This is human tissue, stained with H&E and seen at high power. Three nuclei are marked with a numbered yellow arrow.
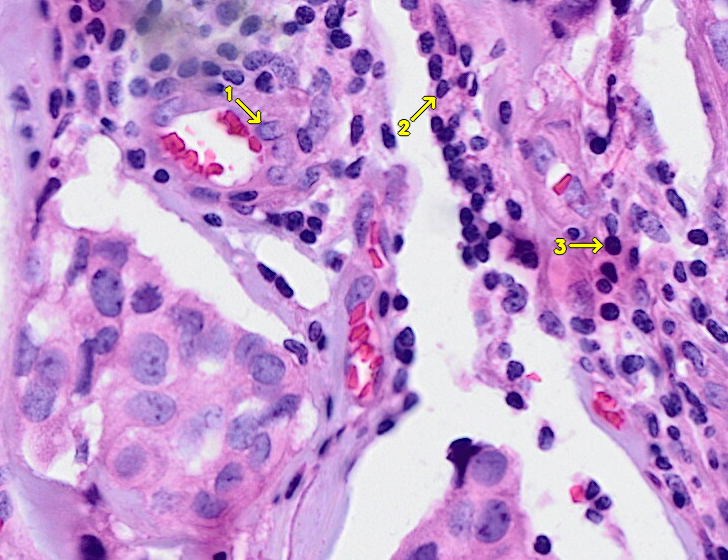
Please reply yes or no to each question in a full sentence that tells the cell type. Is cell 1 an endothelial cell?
Yes, that is so; number 1 marks an endothelial cell.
